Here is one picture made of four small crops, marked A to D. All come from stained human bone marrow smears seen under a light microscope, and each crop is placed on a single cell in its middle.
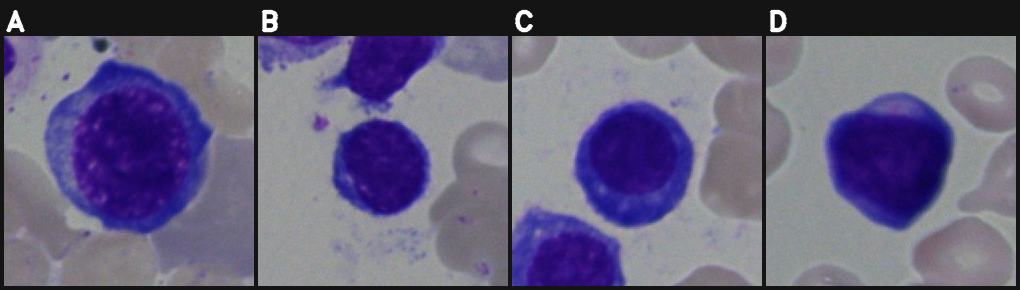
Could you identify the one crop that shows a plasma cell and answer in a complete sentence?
The requested cell, a plasma cell, is the one in crop C.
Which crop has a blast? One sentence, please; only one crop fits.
The correct choice is crop D, the one showing a blast.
